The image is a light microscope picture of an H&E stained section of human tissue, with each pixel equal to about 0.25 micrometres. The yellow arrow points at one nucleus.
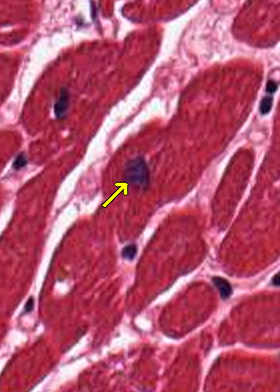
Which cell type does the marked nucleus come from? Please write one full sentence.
The mark indicates the nucleus of a cardiomyocyte.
